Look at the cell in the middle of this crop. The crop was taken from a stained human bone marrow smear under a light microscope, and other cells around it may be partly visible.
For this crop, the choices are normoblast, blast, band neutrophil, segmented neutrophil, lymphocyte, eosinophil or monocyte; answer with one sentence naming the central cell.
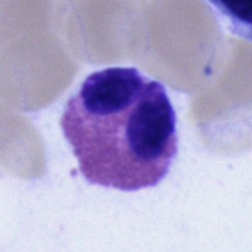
Looking at the middle of the crop, the cell there is an eosinophil.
